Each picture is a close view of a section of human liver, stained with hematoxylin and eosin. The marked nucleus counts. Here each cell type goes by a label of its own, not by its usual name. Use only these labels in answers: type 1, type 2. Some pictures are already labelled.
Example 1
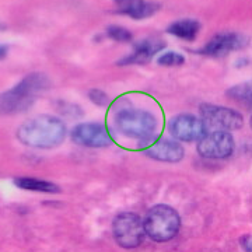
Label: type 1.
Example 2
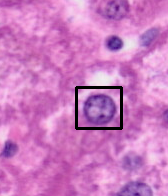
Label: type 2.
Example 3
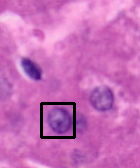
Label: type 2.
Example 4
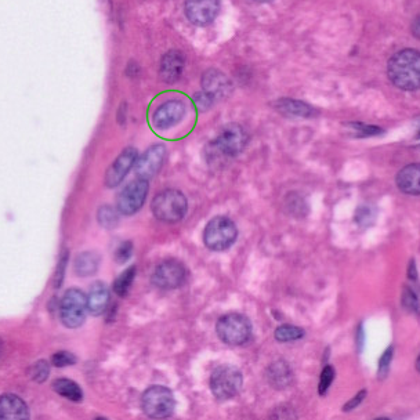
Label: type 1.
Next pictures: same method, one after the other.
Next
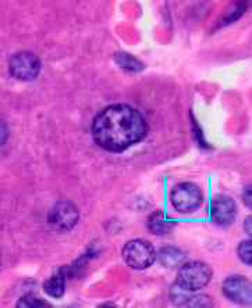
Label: type 1.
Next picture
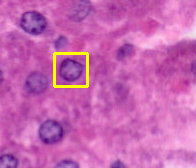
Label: type 2.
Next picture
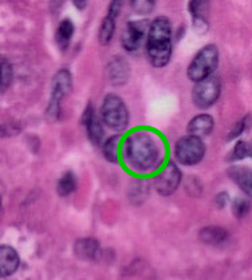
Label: type 1.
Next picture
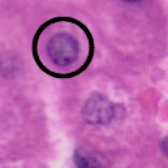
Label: type 2.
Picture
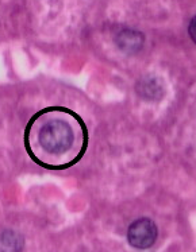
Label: type 2.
